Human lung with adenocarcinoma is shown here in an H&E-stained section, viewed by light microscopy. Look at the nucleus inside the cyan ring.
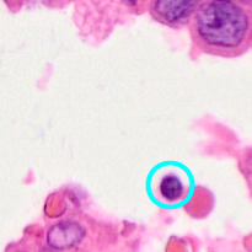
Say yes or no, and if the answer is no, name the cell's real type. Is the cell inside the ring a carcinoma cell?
No, it is a lymphocyte.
